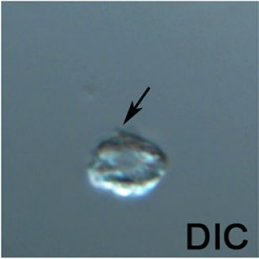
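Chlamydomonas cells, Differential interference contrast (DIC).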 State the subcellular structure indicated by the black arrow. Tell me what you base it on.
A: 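Small ciliary stubs. The arrow points to a small bump at the top edge of the cell. No long thin process extends from the cell.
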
